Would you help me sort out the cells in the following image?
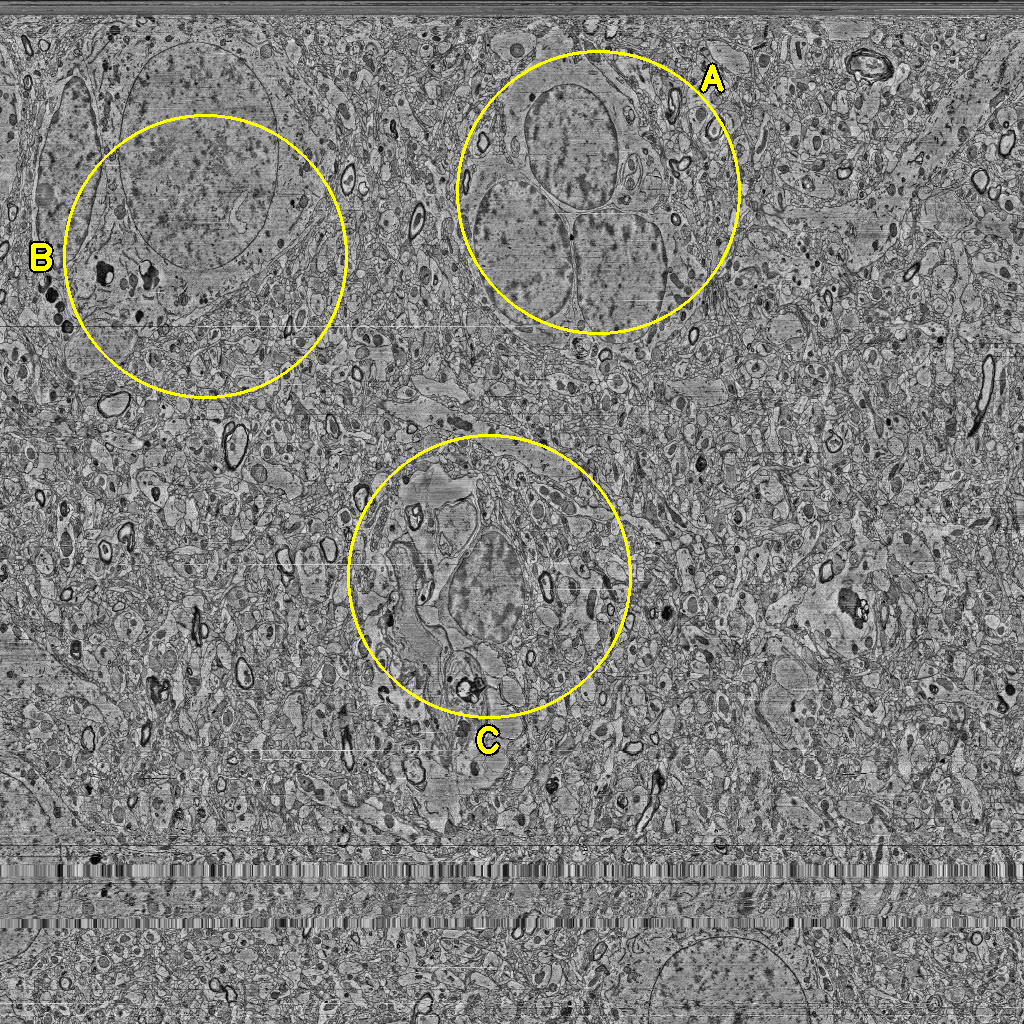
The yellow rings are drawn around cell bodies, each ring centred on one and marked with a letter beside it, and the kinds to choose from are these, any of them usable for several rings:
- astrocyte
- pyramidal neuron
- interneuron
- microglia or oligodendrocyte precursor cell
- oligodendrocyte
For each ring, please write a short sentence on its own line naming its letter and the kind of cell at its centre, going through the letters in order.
Ring A is centred on the cell body of an astrocyte.
Ring B is centred on the cell body of a pyramidal neuron.
Ring C is centred on the cell body of an oligodendrocyte.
